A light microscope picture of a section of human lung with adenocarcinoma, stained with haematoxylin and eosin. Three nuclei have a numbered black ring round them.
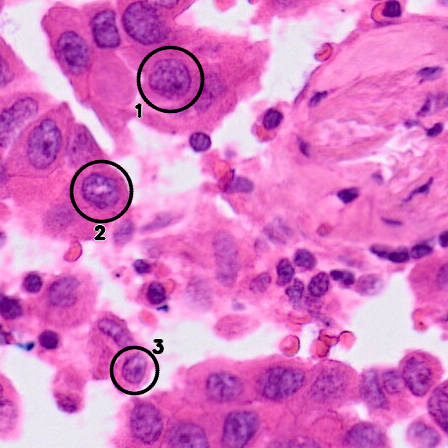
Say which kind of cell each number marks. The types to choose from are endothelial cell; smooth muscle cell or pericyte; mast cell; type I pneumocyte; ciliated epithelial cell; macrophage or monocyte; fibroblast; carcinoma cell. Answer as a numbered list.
1. carcinoma cell
2. carcinoma cell
3. macrophage or monocyte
